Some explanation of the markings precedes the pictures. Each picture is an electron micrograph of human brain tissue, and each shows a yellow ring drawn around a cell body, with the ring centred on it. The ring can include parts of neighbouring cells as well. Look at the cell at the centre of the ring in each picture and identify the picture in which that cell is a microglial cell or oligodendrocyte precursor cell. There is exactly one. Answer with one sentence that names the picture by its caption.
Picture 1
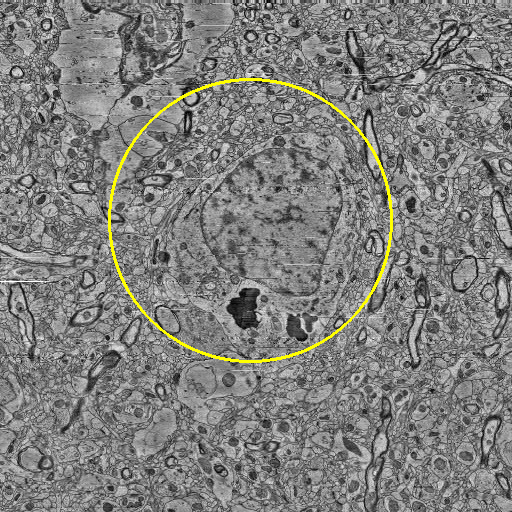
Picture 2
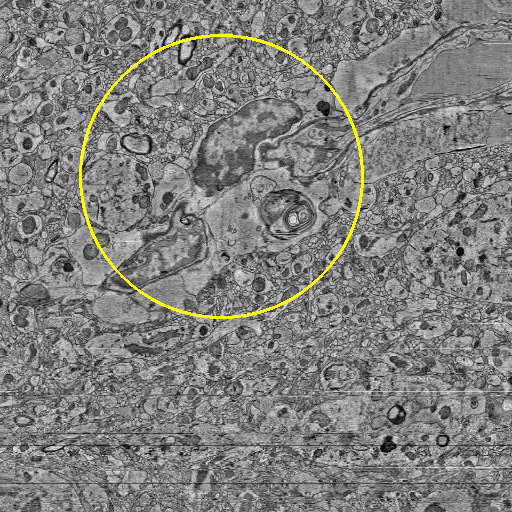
In Picture 2, the cell at the centre of the ring is of that kind.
